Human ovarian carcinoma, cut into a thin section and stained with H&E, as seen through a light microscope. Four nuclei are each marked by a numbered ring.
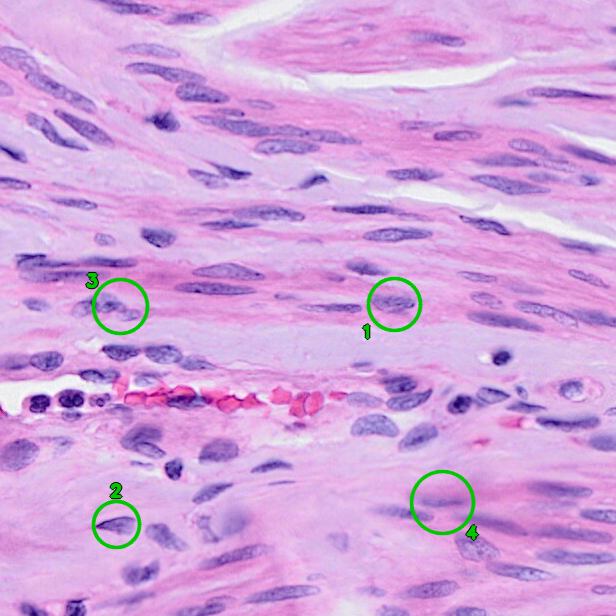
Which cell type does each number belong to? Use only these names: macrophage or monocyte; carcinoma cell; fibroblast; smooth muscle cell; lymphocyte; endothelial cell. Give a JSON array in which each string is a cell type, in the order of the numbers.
["smooth muscle cell", "fibroblast", "smooth muscle cell", "smooth muscle cell"]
